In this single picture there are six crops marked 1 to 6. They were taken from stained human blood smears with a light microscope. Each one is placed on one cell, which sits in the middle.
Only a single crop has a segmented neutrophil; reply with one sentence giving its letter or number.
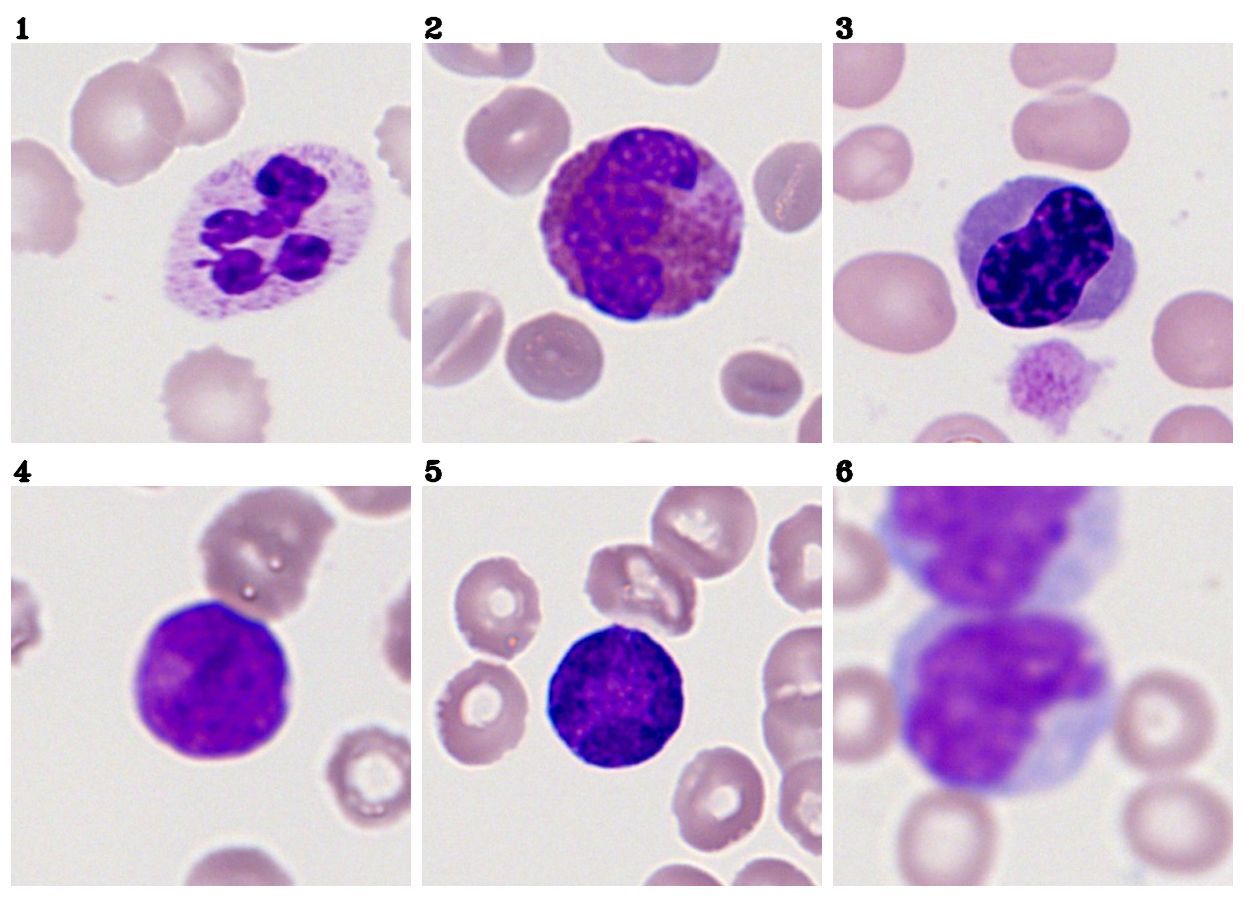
In this series, a segmented neutrophil is shown by crop 1.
